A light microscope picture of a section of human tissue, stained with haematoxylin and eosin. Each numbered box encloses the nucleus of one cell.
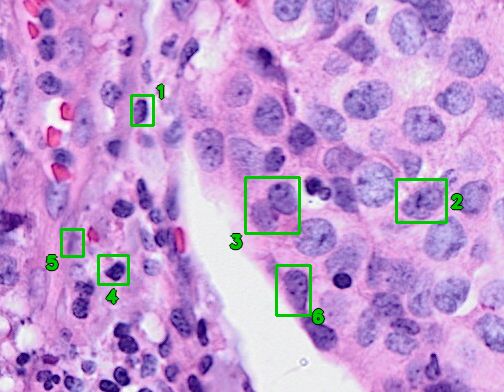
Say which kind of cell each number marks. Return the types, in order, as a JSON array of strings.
["lymphocyte", "carcinoma cell", "carcinoma cell", "lymphocyte", "endothelial cell", "carcinoma cell"]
